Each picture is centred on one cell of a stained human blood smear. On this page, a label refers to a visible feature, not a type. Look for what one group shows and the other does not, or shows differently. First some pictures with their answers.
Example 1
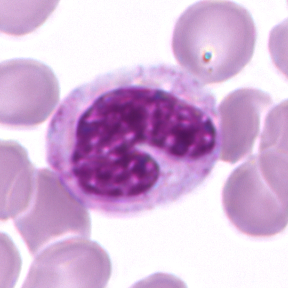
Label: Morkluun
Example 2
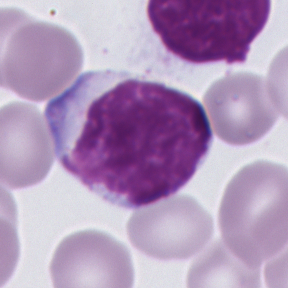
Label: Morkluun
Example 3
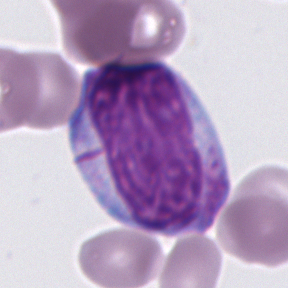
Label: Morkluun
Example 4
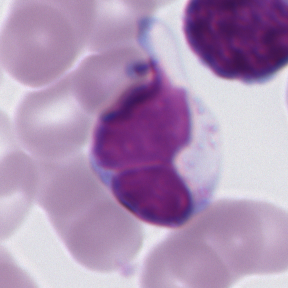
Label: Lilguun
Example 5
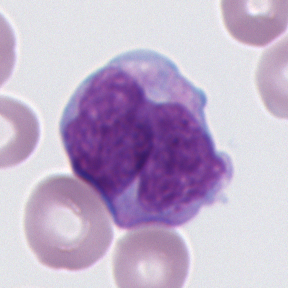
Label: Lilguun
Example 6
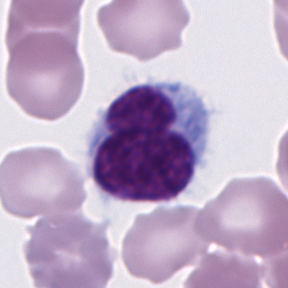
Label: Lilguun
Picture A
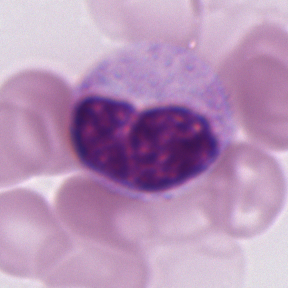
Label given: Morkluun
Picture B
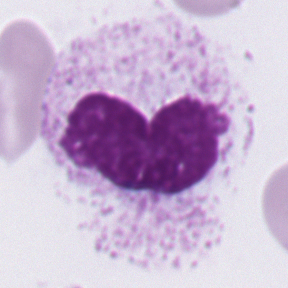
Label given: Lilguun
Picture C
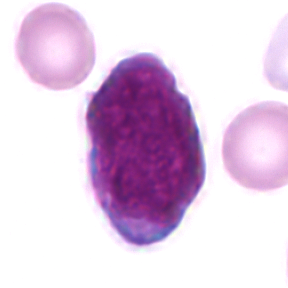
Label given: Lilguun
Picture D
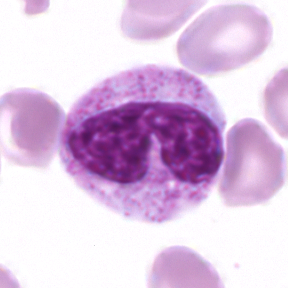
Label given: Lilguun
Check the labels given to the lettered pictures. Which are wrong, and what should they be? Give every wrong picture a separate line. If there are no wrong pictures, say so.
A should be Lilguun, not Morkluun
C should be Morkluun, not Lilguun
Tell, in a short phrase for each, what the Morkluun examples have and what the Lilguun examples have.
Morkluun: single compact nucleus; Lilguun: lobed nucleus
